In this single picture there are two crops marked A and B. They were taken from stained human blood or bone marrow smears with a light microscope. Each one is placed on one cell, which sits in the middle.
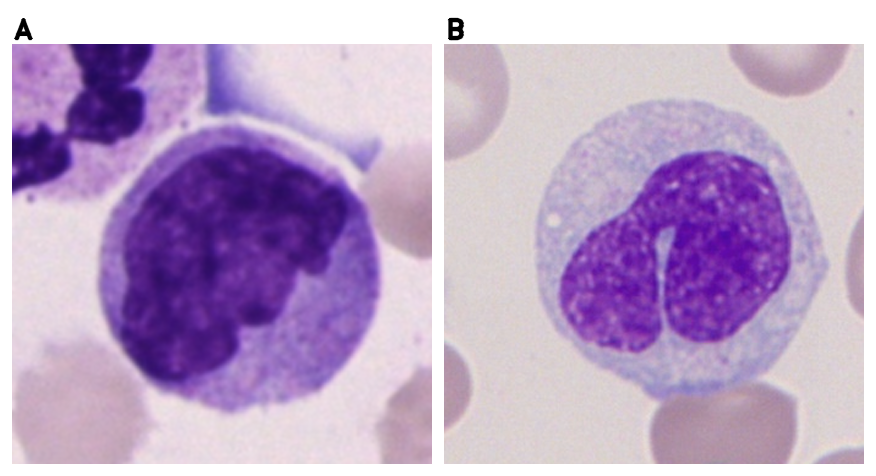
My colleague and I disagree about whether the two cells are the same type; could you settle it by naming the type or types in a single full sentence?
Yes, what both crops show at their centres are monocytes.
